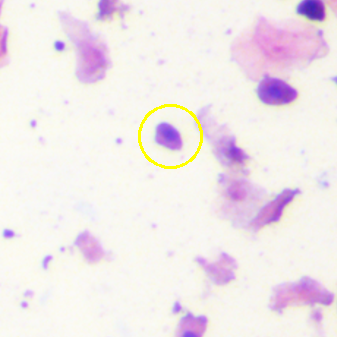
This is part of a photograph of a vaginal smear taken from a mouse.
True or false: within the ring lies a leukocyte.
False: a nucleated epithelial cell lies within the ring.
